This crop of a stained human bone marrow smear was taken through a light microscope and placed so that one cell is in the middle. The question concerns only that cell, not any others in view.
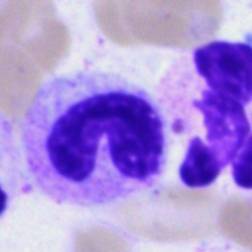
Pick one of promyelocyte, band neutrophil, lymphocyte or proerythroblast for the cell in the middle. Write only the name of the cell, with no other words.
band neutrophil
